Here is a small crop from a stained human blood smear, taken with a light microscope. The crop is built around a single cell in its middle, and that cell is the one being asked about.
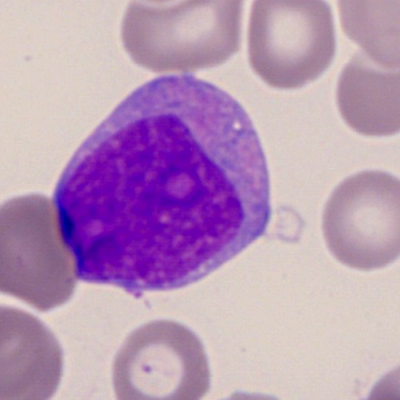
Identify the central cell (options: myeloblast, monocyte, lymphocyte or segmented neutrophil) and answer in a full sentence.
In the crop, the cell of interest at the centre is a myeloblast.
